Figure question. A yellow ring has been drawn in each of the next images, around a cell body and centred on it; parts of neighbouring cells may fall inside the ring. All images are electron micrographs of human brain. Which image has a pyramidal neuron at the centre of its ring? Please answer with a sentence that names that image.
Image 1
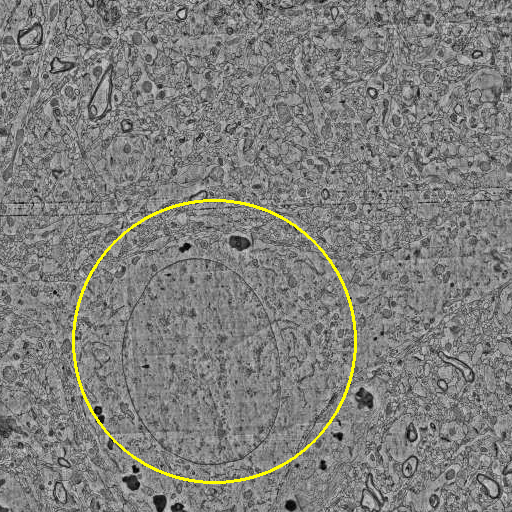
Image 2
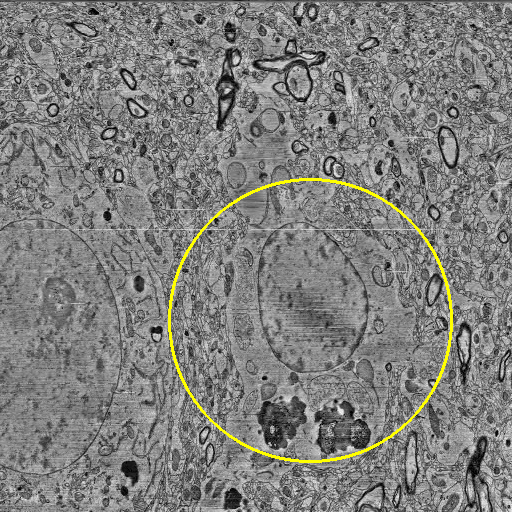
The cell at the centre of the ring in Image 1 is of that kind.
